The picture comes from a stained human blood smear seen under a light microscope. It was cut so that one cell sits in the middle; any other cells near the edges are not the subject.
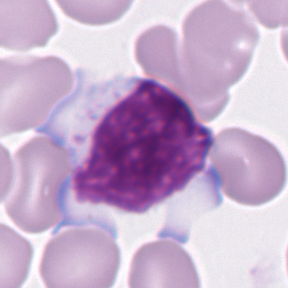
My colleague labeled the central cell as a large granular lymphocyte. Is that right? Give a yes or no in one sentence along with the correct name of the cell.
Yes, the cell under consideration, the one in the middle, is a large granular lymphocyte.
